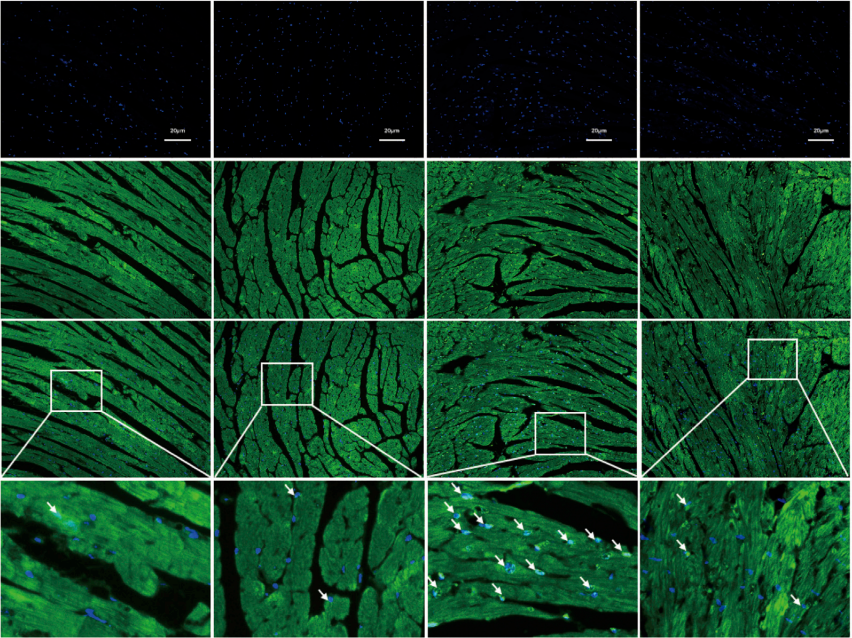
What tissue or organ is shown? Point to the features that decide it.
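Long, parallel, branching muscle fibres fill the field. Small elongated nuclei lie within the fibres. Narrow dark clefts run between bundles of fibres.
Answer: myocardial tissue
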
